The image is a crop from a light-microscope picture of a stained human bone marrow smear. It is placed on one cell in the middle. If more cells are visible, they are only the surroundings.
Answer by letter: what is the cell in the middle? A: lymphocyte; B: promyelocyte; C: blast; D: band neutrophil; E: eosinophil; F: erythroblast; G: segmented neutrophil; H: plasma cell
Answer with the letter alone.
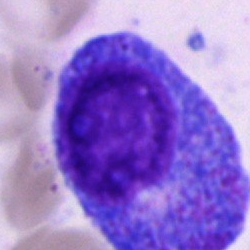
B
